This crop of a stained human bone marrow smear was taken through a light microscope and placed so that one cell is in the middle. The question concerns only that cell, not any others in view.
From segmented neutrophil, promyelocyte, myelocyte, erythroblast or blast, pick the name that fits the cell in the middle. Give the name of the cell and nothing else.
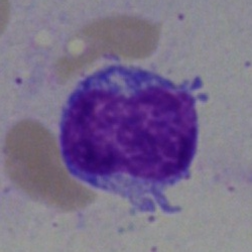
blast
